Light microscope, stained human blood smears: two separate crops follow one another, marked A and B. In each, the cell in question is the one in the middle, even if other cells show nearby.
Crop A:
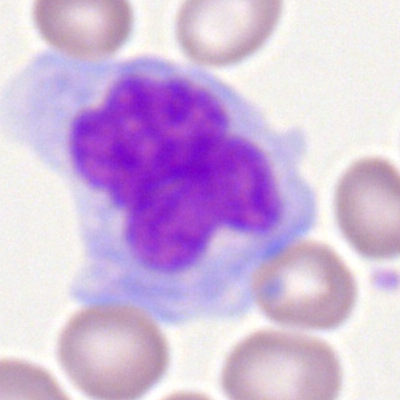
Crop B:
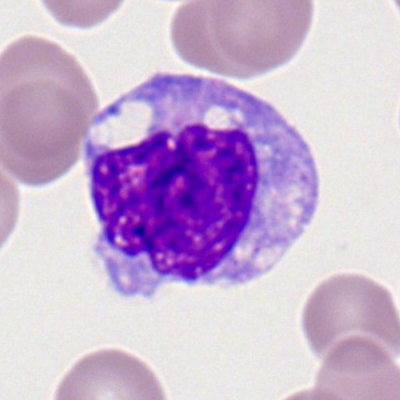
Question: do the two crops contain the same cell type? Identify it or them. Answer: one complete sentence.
Yes, the cells that both crops show at the centre are monocytes.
